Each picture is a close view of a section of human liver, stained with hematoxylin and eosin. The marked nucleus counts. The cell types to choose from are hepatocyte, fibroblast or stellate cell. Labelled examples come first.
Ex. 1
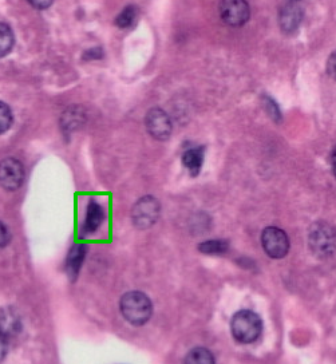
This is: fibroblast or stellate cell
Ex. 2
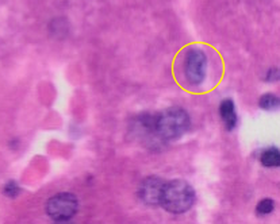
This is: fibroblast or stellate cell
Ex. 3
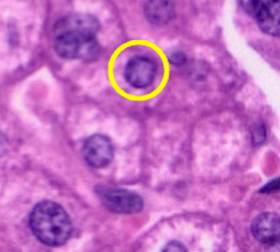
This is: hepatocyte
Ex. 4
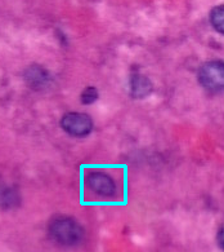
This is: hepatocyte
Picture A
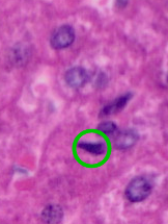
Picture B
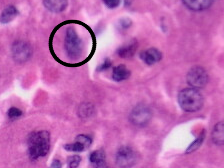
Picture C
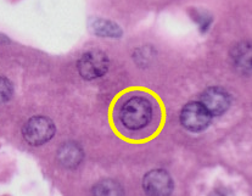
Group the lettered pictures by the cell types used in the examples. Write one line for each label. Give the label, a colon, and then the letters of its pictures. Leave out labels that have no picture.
hepatocyte: C
fibroblast or stellate cell: A, B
